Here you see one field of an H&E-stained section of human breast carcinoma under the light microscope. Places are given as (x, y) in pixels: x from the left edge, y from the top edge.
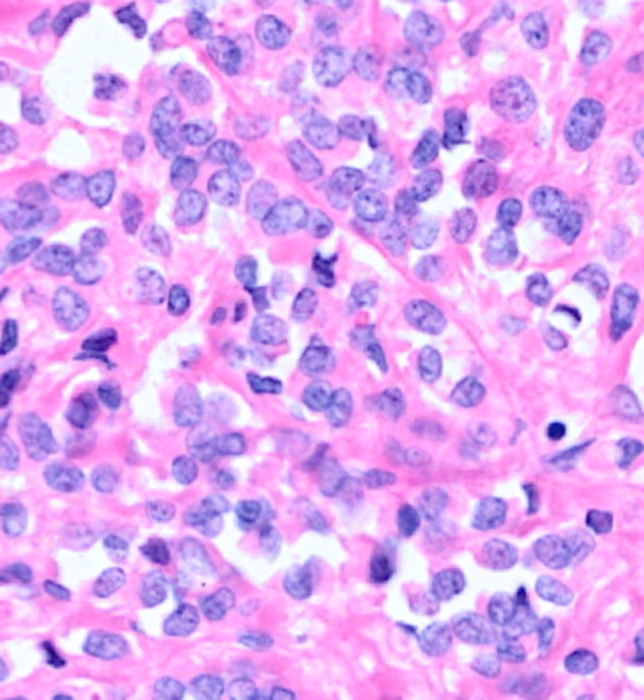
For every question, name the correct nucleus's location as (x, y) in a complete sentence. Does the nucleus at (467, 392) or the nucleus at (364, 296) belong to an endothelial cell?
The nucleus whose cell is an endothelial cell is the one at (364, 296).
